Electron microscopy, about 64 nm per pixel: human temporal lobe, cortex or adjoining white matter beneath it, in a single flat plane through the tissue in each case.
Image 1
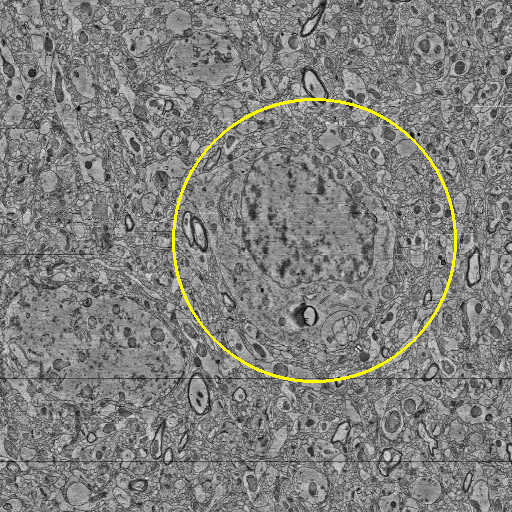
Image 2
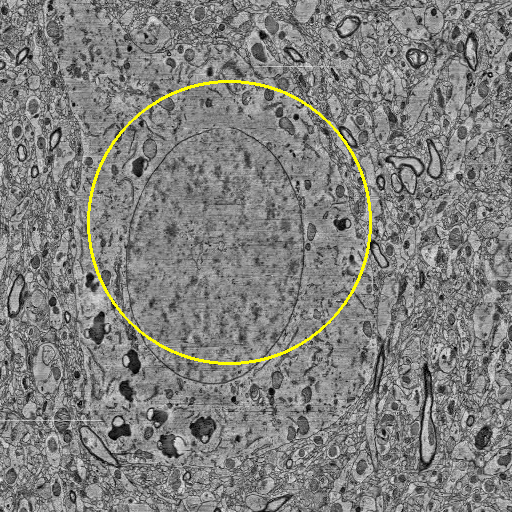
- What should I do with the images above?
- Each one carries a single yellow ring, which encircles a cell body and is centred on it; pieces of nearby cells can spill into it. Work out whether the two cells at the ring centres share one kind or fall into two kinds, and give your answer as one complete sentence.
The ring-centre cells of Image 1 and Image 2 fall into two kinds.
